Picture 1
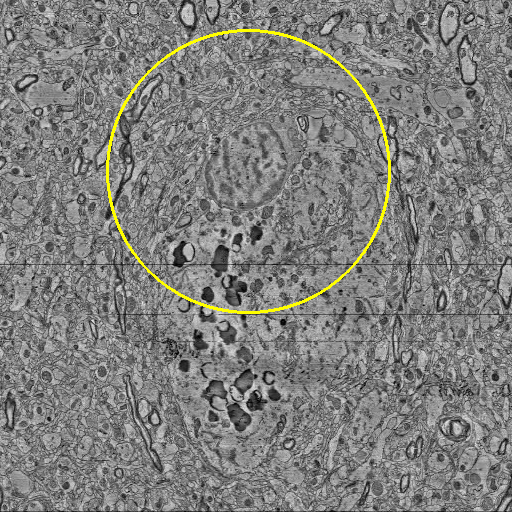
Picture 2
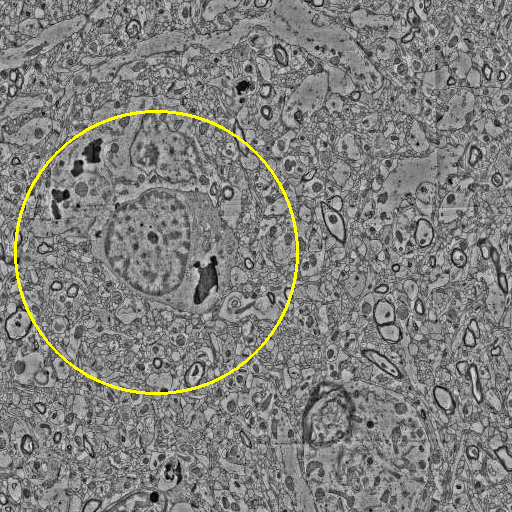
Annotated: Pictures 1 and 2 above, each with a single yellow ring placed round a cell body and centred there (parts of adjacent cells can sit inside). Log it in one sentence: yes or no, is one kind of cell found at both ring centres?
Yes, the ring centres of the two pictures hold cells of one kind.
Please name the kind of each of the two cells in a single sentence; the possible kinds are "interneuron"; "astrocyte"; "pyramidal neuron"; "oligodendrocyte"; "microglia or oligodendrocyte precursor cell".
Each of the two pictures has an oligodendrocyte at the ring centre.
